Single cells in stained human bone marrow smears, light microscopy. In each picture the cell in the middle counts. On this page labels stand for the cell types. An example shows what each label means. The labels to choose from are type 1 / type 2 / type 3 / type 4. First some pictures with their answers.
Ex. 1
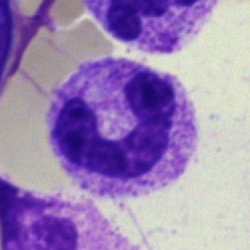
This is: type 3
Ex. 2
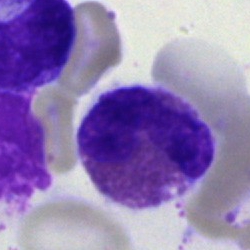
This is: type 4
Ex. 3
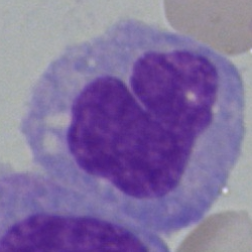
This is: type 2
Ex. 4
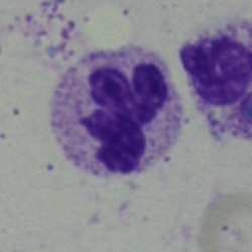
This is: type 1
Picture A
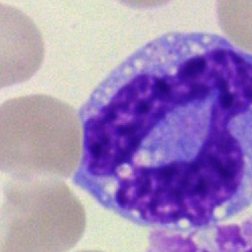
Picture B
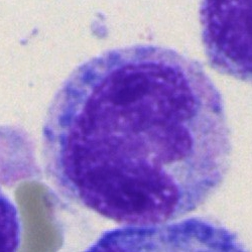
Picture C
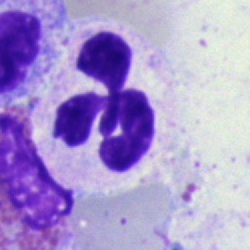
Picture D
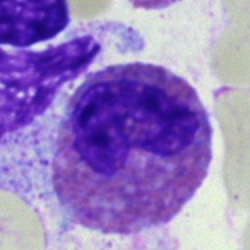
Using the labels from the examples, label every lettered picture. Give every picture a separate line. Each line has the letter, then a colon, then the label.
A: type 2
B: type 2
C: type 1
D: type 4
